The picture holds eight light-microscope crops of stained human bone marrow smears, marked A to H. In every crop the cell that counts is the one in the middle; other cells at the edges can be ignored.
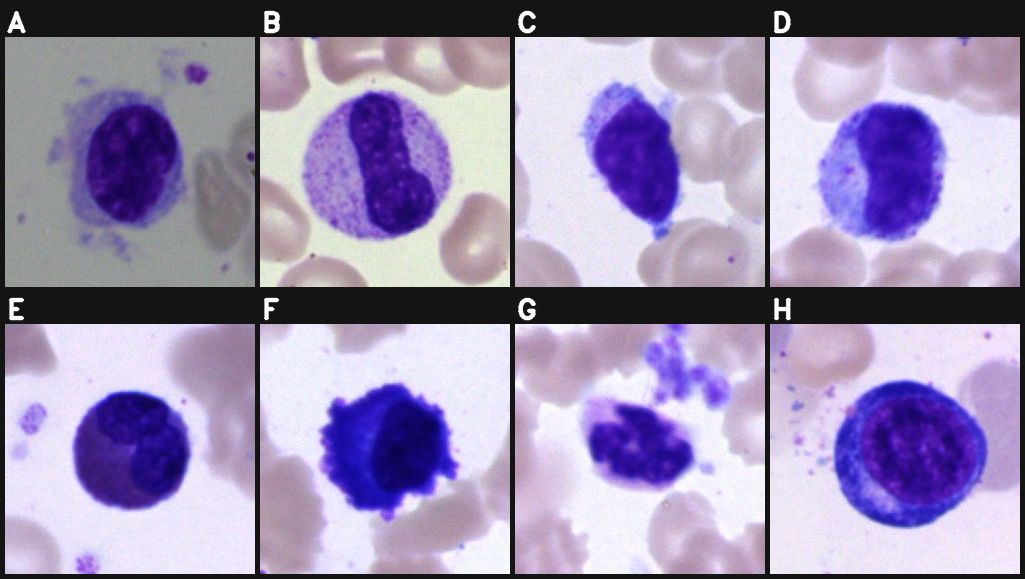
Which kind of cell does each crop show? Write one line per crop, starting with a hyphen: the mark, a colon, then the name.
- A: hairy cell
- B: band neutrophil
- C: lymphocyte
- D: metamyelocyte
- E: eosinophil
- F: plasma cell
- G: segmented neutrophil
- H: proerythroblast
